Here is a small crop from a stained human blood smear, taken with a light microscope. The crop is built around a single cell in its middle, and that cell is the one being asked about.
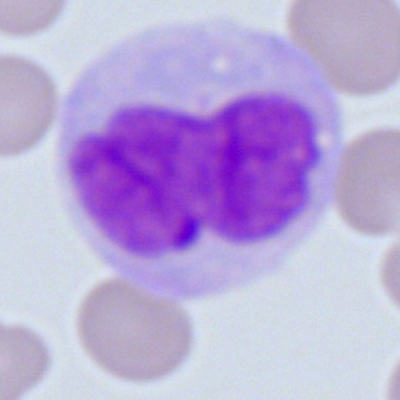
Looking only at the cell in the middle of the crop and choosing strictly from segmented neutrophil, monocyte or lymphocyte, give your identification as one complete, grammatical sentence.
The cell at the middle of the crop is recognized as a monocyte.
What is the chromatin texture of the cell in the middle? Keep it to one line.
No coarse chromatin clumps are present; the pattern is fine.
